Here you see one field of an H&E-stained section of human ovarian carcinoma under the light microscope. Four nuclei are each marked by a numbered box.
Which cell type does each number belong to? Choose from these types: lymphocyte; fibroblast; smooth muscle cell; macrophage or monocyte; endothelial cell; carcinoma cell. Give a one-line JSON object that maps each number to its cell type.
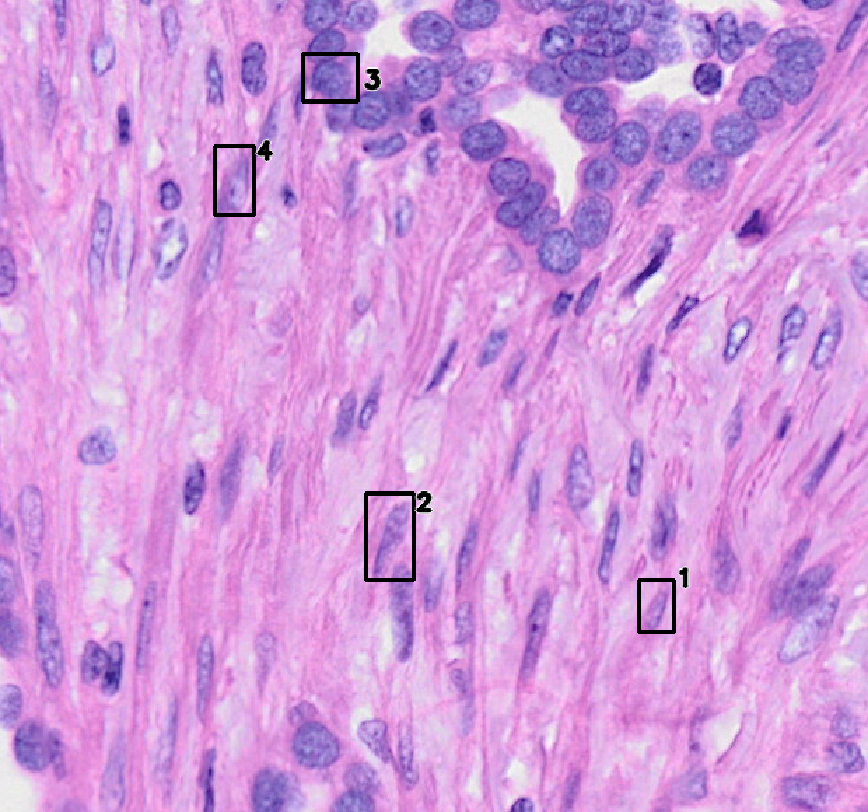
{"1": "fibroblast", "2": "fibroblast", "3": "carcinoma cell", "4": "fibroblast"}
